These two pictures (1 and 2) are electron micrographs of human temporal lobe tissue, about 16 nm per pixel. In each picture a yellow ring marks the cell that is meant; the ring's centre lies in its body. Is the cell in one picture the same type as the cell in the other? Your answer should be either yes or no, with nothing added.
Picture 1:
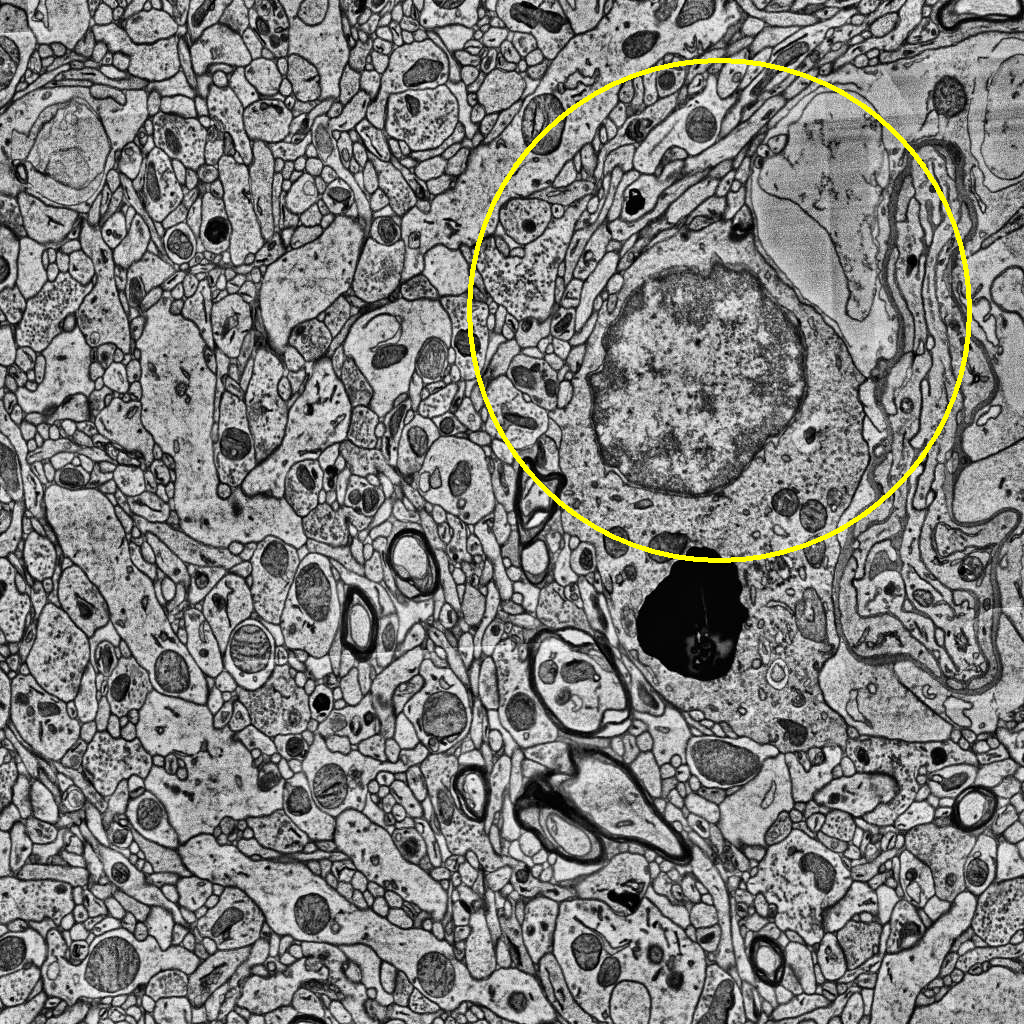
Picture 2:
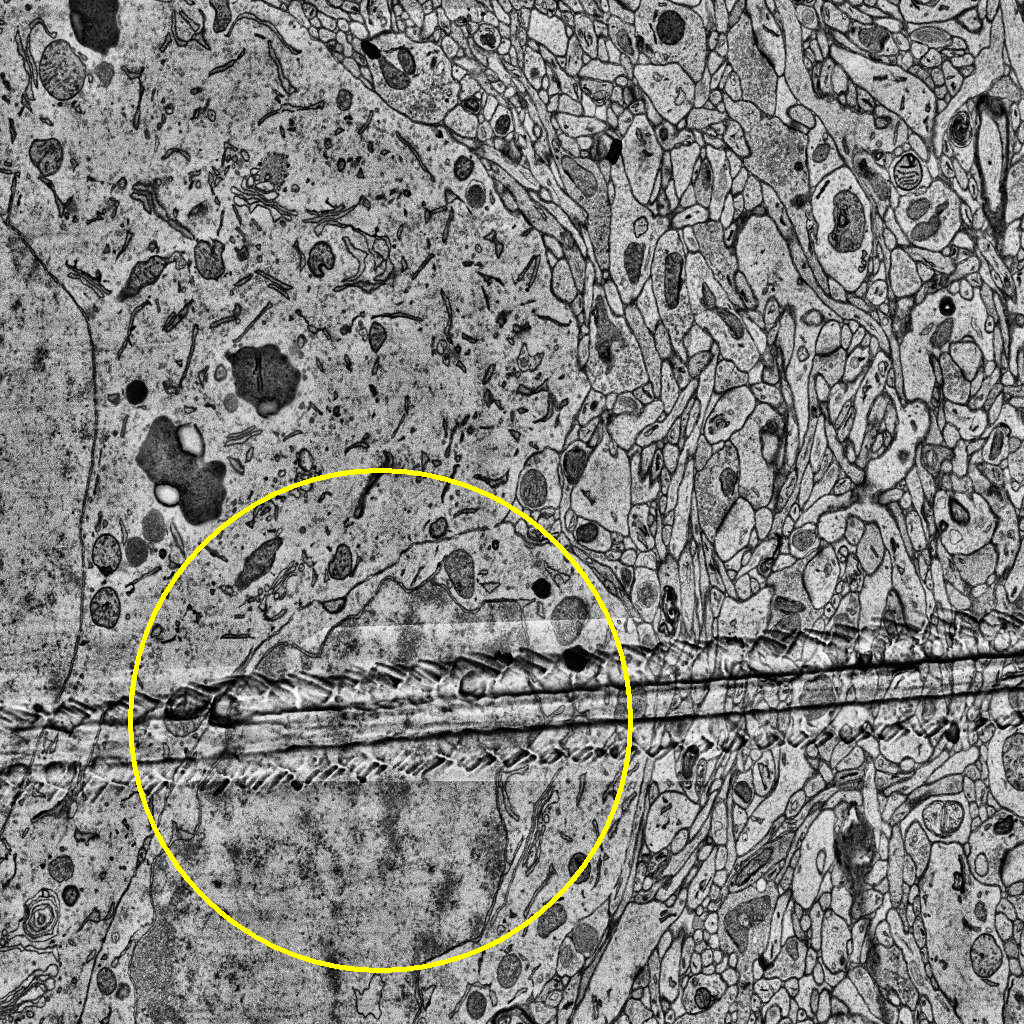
no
